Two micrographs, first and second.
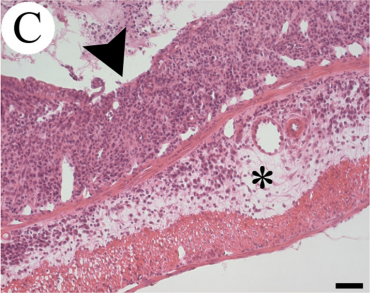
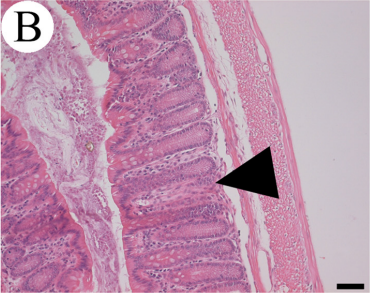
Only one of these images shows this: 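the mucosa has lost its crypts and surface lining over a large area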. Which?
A: The first image.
